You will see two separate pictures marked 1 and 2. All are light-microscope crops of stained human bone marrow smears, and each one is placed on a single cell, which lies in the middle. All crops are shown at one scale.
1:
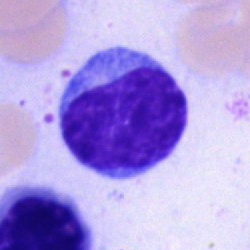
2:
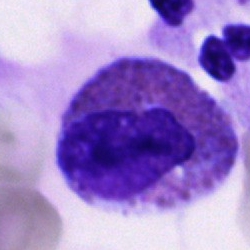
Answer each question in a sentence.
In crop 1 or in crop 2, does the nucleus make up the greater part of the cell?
The nucleus fills more of the cell in crop 1 than in crop 2.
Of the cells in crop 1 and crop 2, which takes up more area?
Crop 2 holds the larger cell; it covers about 1.5 times the area of the cell in crop 1.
